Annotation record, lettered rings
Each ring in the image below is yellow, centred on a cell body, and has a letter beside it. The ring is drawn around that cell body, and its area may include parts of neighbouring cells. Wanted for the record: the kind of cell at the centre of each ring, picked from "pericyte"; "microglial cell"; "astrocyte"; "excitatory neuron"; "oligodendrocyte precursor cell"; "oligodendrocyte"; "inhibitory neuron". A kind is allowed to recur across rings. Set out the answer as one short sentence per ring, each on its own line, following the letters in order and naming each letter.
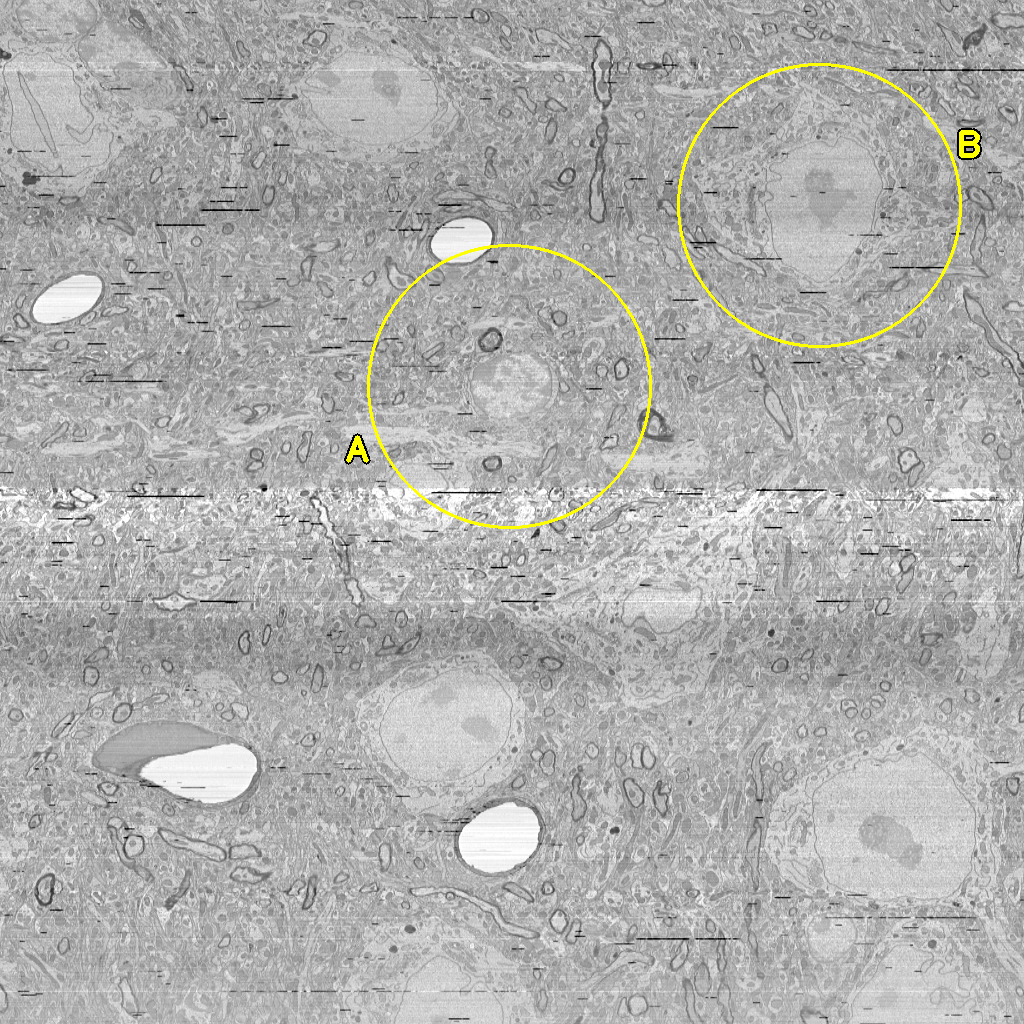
Ring A was drawn on an oligodendrocyte.
Ring B was drawn on an inhibitory neuron.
